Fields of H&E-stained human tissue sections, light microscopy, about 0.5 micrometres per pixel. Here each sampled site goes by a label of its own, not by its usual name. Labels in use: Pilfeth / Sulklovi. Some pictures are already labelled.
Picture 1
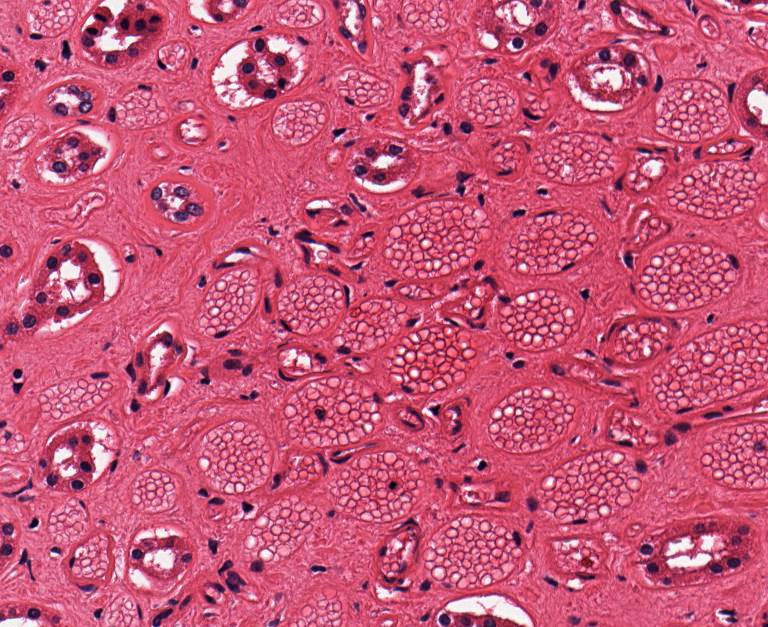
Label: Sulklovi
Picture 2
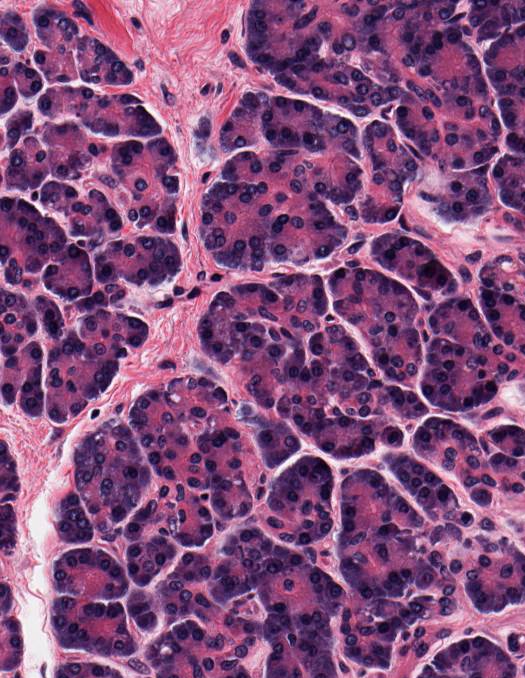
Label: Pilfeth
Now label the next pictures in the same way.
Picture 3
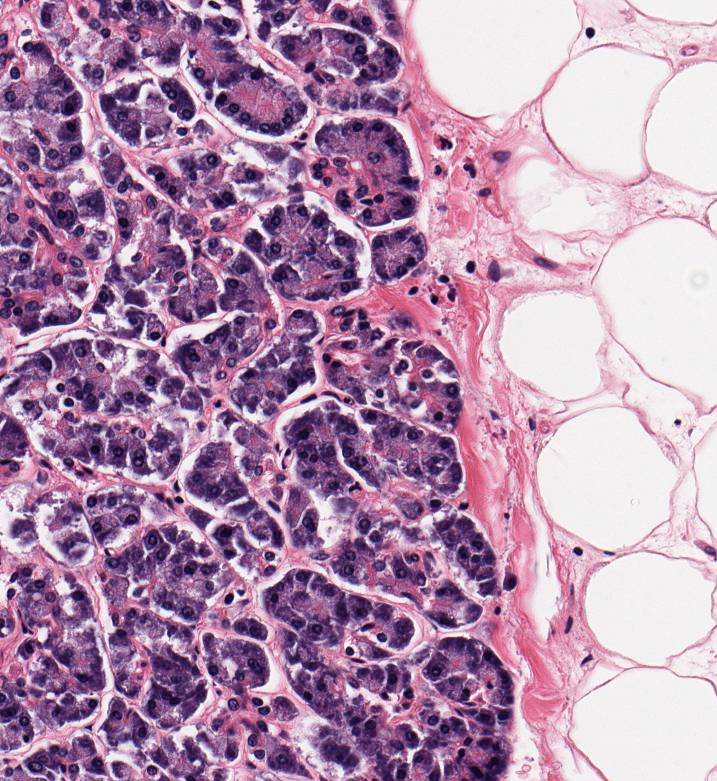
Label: Pilfeth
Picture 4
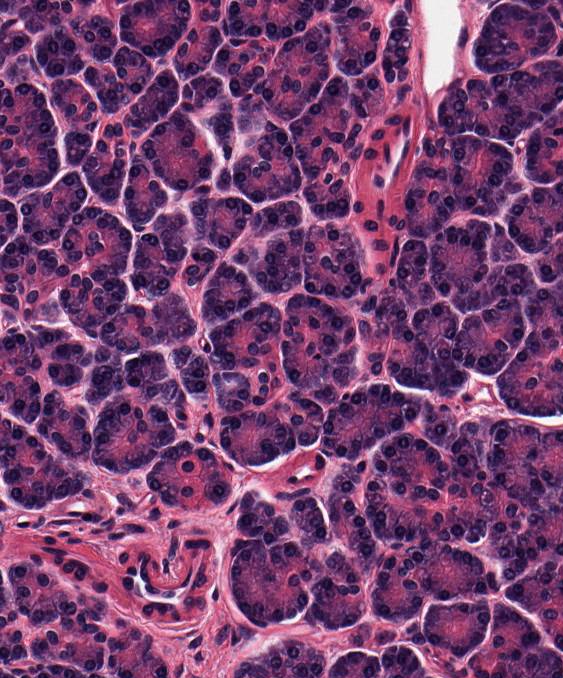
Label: Pilfeth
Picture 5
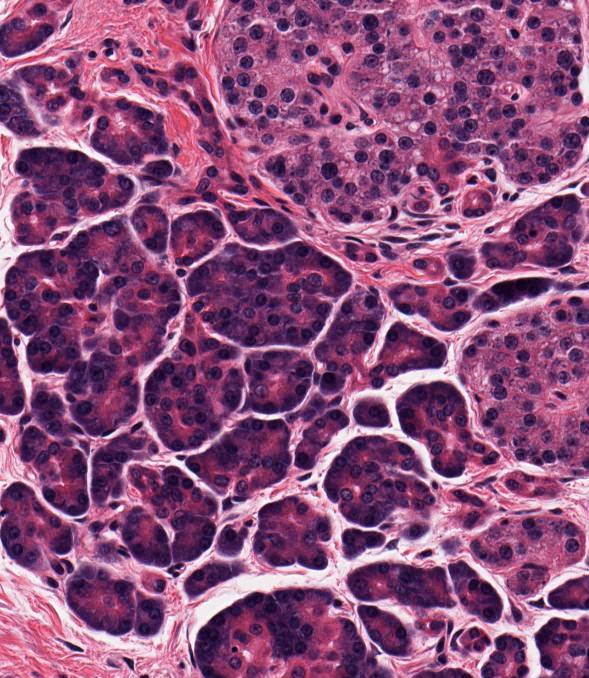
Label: Pilfeth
